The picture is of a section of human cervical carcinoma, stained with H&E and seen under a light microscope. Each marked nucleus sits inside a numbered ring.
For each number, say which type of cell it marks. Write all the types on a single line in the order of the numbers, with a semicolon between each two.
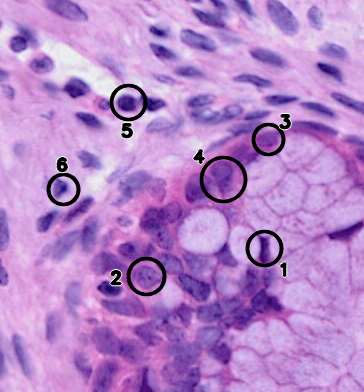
secretory epithelial cell; secretory epithelial cell; secretory epithelial cell; secretory epithelial cell; lymphocyte; fibroblast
